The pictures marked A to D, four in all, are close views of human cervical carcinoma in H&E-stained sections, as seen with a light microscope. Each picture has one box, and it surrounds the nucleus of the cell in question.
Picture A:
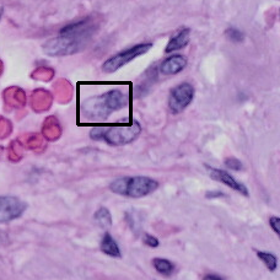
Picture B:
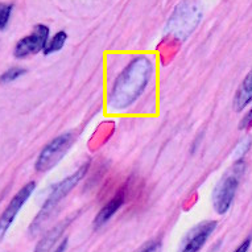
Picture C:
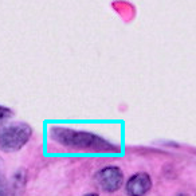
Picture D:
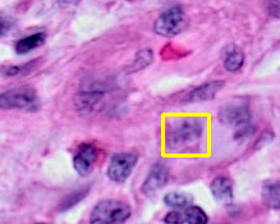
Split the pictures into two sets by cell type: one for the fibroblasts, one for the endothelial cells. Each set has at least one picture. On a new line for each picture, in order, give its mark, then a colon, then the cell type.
A: endothelial cell
B: endothelial cell
C: endothelial cell
D: fibroblast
